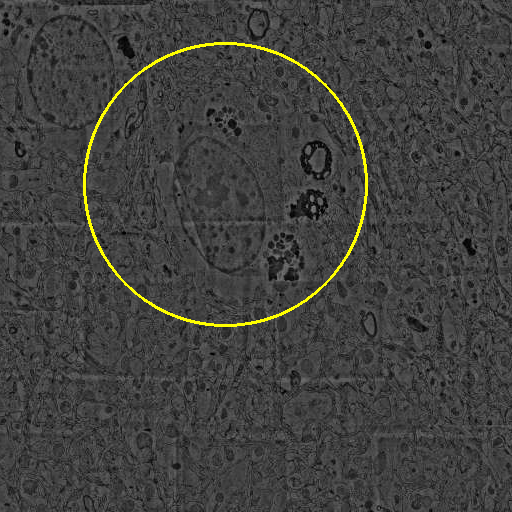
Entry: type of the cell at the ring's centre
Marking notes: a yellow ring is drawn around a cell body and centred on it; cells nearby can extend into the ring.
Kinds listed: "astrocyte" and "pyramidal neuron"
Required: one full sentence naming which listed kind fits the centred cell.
My entry names an astrocyte as the cell whose body the yellow ring centres on.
